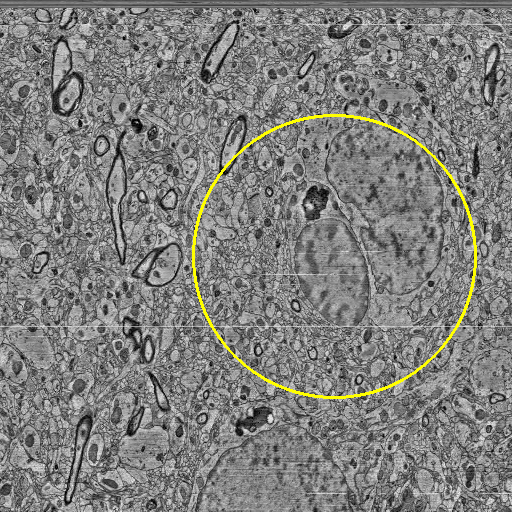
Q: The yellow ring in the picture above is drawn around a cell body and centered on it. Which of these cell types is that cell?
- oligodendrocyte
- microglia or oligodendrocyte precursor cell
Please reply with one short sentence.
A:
The cell body at the ring's center belongs to an oligodendrocyte.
